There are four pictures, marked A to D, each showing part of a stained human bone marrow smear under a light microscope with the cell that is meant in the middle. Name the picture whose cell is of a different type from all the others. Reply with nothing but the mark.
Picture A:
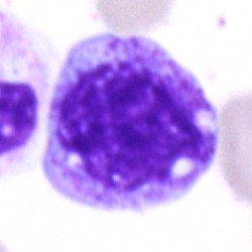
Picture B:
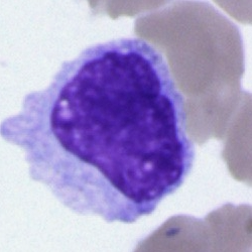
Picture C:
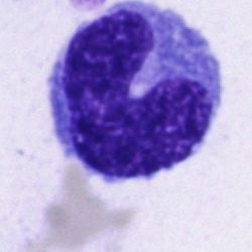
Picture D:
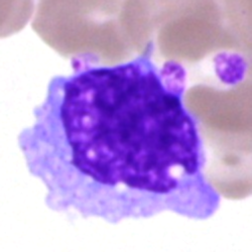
A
